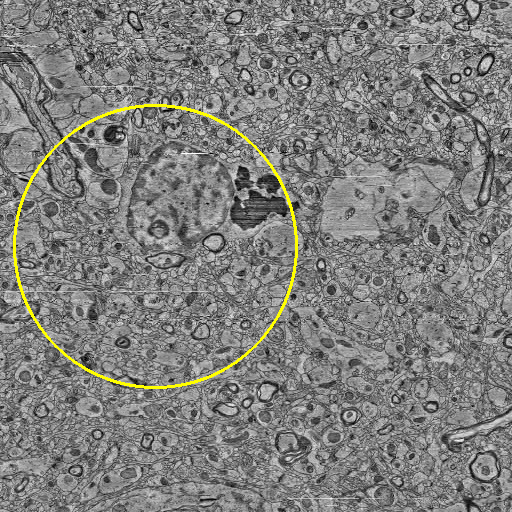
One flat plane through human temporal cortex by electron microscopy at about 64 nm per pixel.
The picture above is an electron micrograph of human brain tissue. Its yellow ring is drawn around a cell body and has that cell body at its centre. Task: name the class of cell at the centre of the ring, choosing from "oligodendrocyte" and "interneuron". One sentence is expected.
The ring surrounds the body of an oligodendrocyte.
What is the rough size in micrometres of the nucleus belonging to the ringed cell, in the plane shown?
In this plane the nucleus spans approximately 7 by 6 micrometers.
